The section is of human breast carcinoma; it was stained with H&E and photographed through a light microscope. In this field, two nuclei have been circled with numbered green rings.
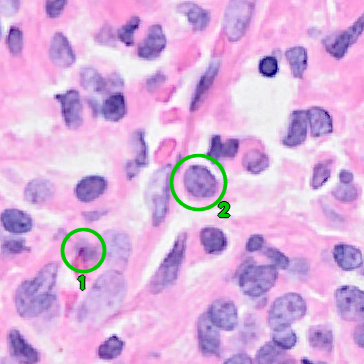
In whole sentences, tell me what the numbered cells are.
Cell 1 is an endothelial cell. Cell 2 is a carcinoma cell.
